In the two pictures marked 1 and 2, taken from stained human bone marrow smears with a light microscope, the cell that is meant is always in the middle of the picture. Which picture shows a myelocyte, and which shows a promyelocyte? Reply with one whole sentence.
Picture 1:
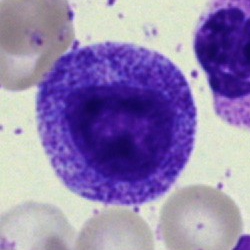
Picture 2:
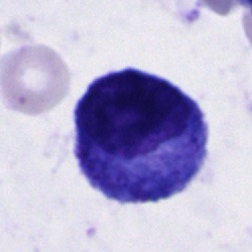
Picture 1 shows a myelocyte and picture 2 shows a promyelocyte.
